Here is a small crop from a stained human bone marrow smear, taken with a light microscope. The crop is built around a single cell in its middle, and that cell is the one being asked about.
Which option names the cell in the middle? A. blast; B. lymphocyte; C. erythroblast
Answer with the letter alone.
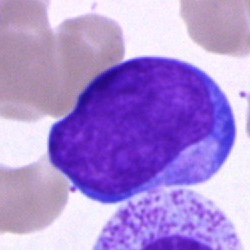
A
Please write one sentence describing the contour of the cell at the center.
Worth noting that the cell border is smooth and lacks projections.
